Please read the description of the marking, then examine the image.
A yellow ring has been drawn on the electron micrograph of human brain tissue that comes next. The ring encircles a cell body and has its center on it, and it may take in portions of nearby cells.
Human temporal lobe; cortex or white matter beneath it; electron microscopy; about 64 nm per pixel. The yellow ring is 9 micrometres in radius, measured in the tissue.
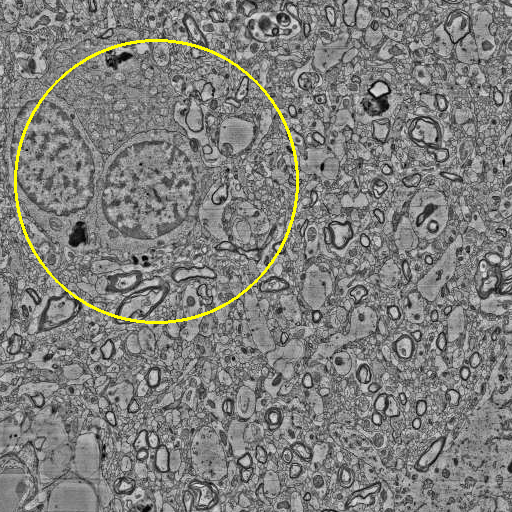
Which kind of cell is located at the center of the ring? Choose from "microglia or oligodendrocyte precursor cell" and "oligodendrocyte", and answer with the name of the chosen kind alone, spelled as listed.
oligodendrocyte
